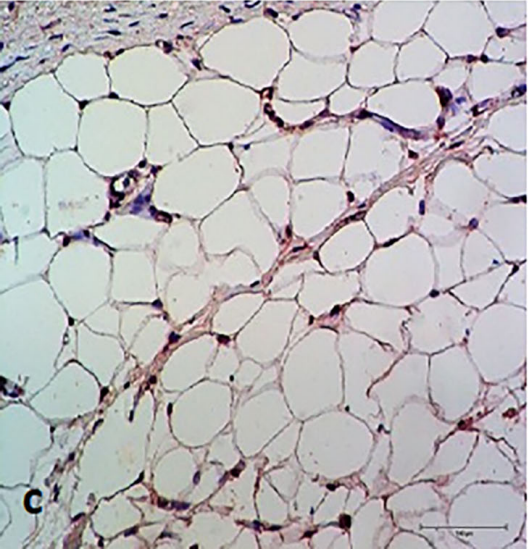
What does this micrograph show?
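Adipose tissue made of closely packed adipocytes. The cells are polygonal to rounded, of varying size, each holding a single large clear vacuole, so that only a thin cytoplasmic rim remains. The rims are outlined in faint brown. Flattened dark nuclei sit at the periphery of some cells, pressed against the rim. Thin strands of connective tissue with elongated nuclei run between groups of adipocytes, and a denser fibrous band lies along the upper edge. A small vessel profile lies among the fat cells on the left.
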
